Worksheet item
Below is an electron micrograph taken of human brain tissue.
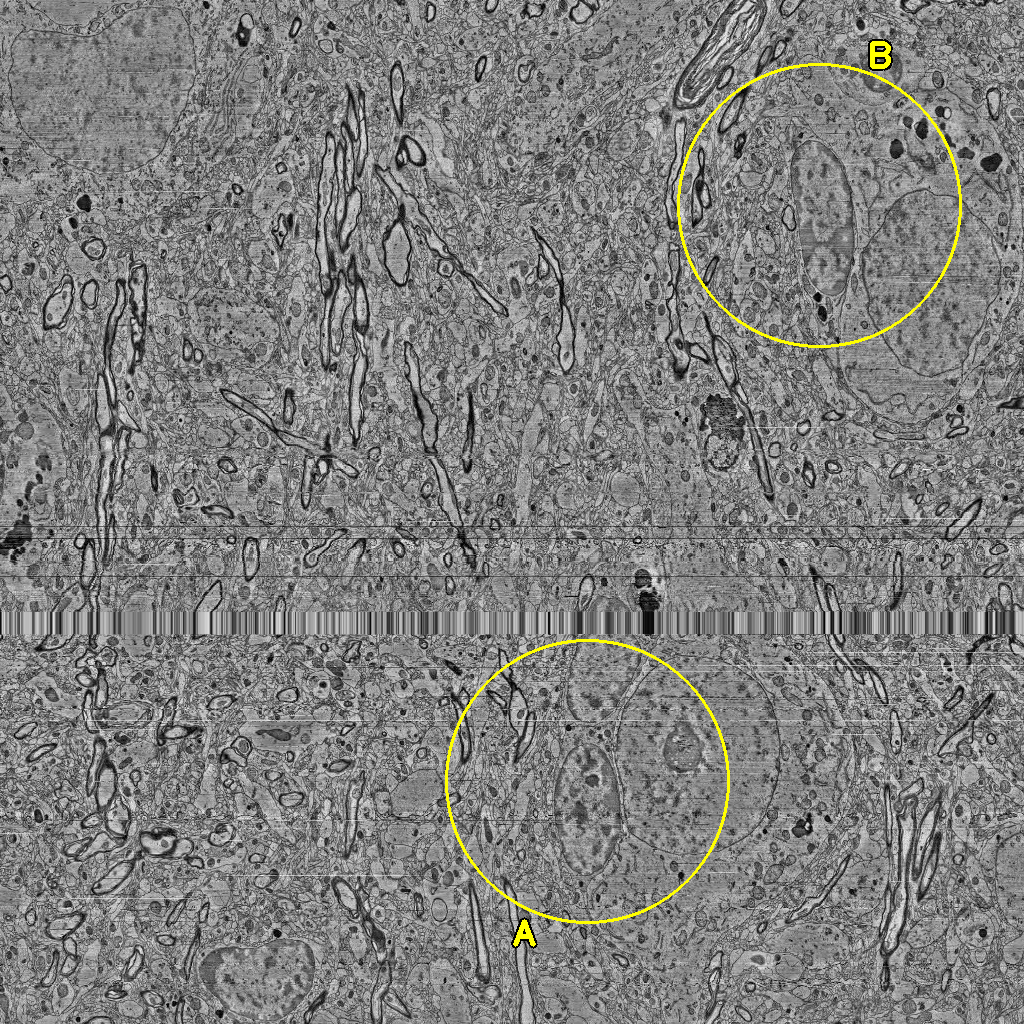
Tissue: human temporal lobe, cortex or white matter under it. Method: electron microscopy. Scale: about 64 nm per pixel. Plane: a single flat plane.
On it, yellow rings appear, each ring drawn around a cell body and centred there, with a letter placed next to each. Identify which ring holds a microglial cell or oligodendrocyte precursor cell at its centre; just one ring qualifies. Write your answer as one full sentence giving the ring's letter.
Ring B has the cell asked for right at its centre in the picture.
